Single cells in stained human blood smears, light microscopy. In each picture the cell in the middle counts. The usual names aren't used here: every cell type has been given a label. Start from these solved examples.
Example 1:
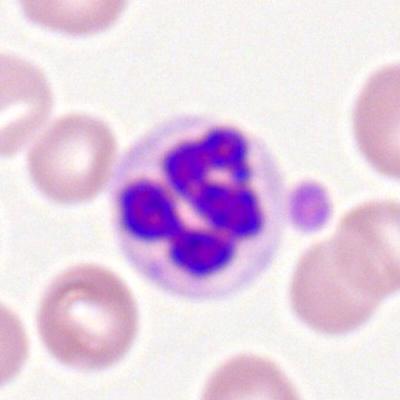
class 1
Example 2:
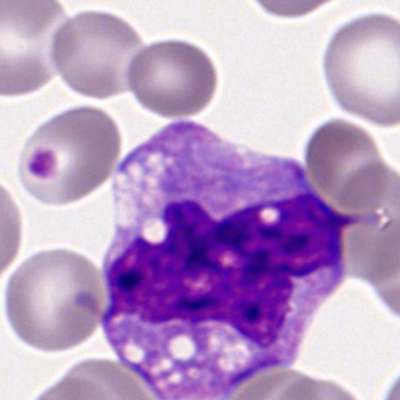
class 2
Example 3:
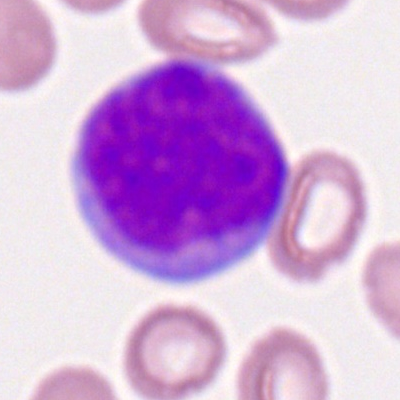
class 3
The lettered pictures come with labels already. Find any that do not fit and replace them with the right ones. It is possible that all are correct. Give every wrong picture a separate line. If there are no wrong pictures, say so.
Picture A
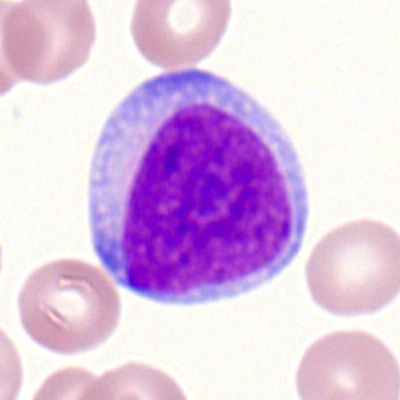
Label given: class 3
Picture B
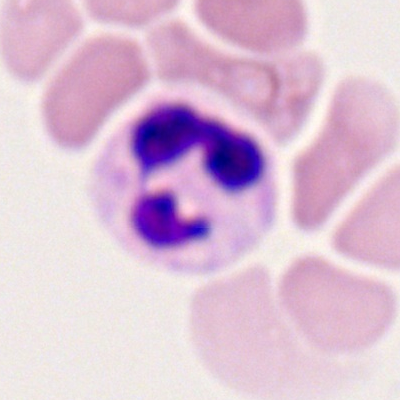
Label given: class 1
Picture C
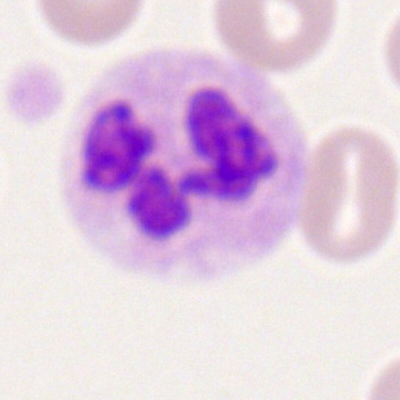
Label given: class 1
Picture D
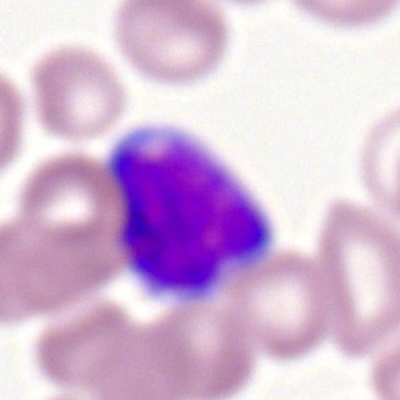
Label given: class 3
No label is wrong.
